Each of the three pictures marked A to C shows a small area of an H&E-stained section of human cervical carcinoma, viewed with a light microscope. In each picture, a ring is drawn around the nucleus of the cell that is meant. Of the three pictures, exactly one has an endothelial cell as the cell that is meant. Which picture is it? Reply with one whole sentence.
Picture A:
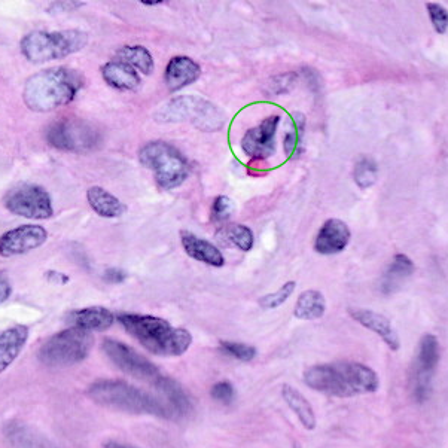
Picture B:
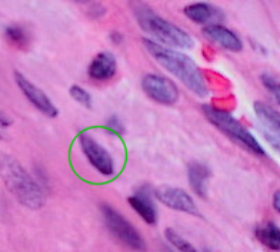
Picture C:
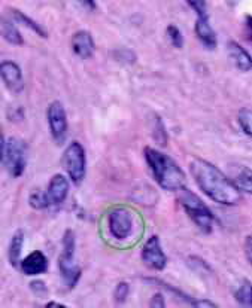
The endothelial cell is the one in picture A.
